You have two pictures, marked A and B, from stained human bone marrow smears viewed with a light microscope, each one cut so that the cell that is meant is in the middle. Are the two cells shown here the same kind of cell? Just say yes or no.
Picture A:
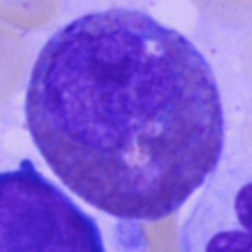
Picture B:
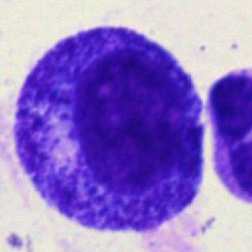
no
